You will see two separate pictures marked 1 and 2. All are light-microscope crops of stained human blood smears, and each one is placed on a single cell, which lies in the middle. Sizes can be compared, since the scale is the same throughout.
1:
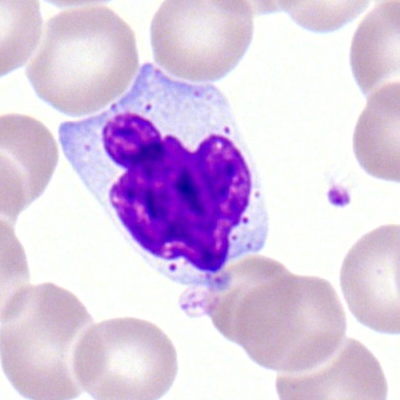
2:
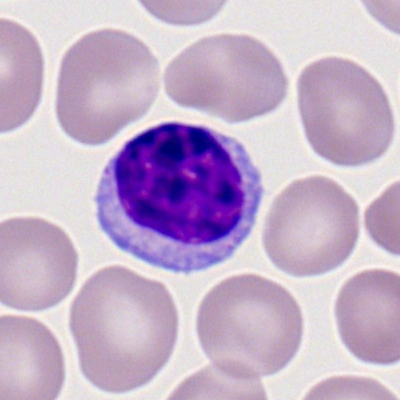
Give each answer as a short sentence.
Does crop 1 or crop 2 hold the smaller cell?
Smaller is the cell in crop 2, and the other is about 1.5 times as large in area.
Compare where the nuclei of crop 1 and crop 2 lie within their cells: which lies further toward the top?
It is the nucleus in crop 2 that lies further toward the top of its cell.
